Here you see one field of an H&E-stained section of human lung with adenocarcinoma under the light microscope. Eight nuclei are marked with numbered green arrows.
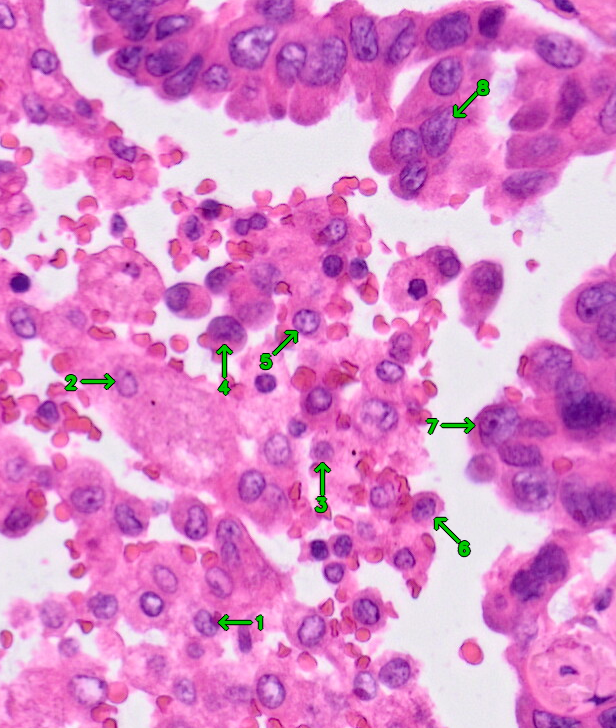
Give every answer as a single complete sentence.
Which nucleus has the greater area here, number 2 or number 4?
Of the two, number 4 is bigger and takes up about 1.5 times the area of number 2.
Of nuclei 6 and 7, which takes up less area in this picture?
Nucleus 6 is the smaller one; nucleus 7 covers about 2.5 times its area.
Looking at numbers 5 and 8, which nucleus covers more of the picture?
Number 8 is larger; its area is about 2 times that of number 5.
